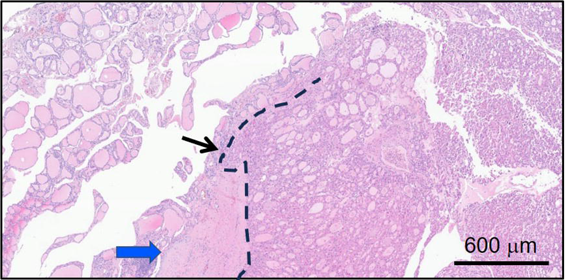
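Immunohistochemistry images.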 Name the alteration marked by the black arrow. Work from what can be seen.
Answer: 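The arrow points at the edge where crowded follicular tissue meets the surrounding tissue. The answer: capsular invasion of cancer cells.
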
